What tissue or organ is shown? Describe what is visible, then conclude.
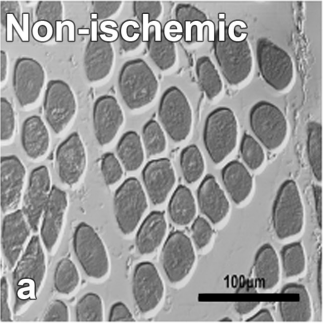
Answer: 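Rounded to polygonal fiber profiles in cross section. Fibers have evenly stained, homogeneous cytoplasm. Fibers are separated by pale spaces of connective tissue.
Skeletal muscle fibers.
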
